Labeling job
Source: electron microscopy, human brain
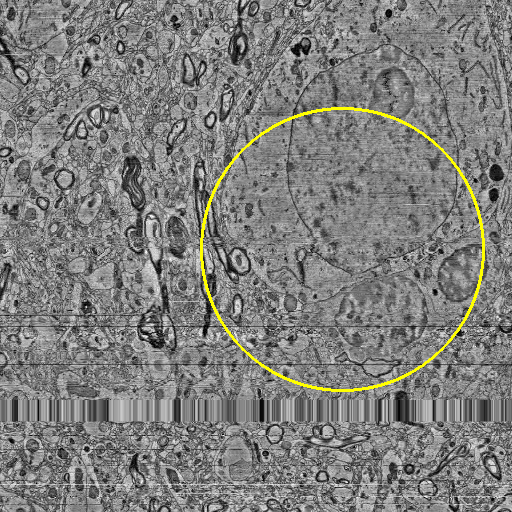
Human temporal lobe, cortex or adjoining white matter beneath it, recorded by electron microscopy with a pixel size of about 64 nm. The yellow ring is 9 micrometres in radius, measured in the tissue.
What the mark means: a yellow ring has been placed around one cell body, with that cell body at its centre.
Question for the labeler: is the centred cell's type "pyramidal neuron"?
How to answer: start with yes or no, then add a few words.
Yes, that is its type.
